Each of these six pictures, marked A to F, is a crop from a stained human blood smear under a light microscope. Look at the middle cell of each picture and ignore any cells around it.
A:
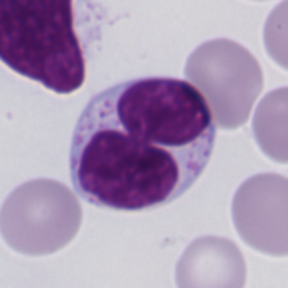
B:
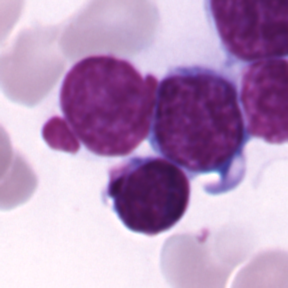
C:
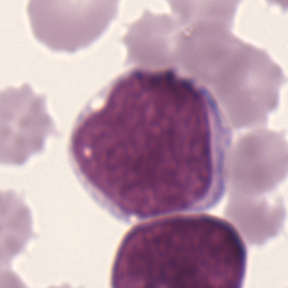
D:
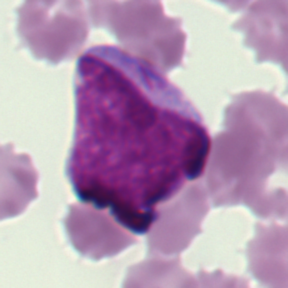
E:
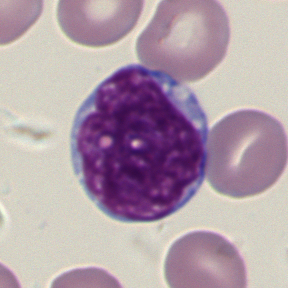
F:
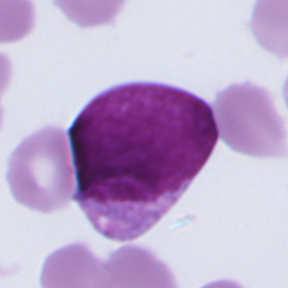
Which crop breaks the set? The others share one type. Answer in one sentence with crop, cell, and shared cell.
Crop A is the different one, a large granular lymphocyte, while the rest are blasts.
